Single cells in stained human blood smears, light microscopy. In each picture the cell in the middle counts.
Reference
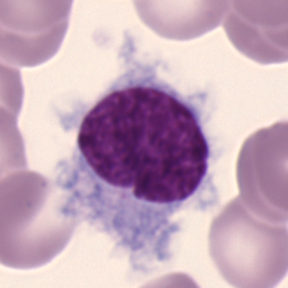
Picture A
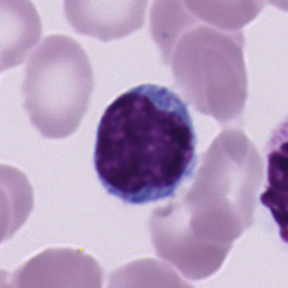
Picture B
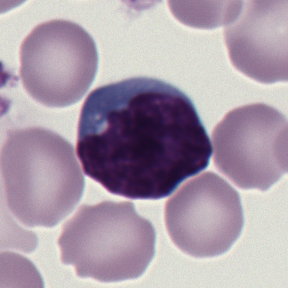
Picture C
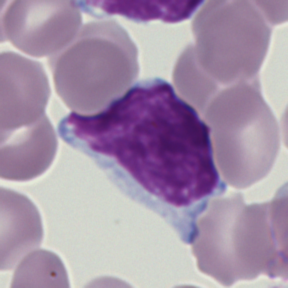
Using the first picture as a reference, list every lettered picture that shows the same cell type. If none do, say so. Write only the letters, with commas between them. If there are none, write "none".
none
